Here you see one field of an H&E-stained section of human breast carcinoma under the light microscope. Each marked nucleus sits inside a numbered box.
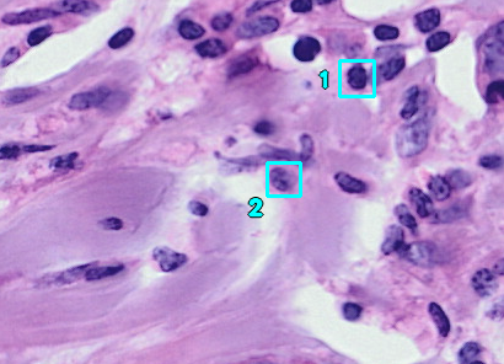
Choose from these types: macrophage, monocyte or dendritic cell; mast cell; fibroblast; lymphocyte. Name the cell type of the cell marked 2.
mast cell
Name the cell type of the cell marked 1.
lymphocyte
